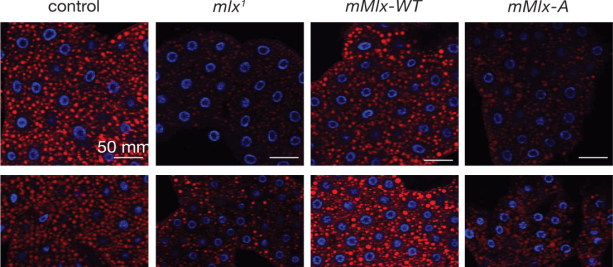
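These are sheets of larval fat body: large cells, each with one round nucleus outlined in blue, set at fairly even distances from one another. Across the eight images, some tissue is crowded with large, bright droplets, while other tissue shows fewer, smaller and fainter droplets with more dark space between them.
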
